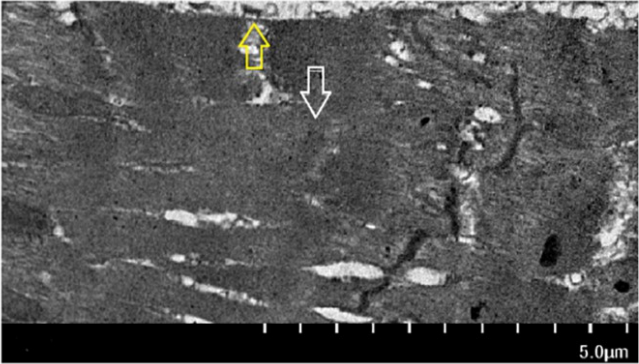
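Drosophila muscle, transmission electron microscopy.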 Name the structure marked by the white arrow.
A: Myogenic fibers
